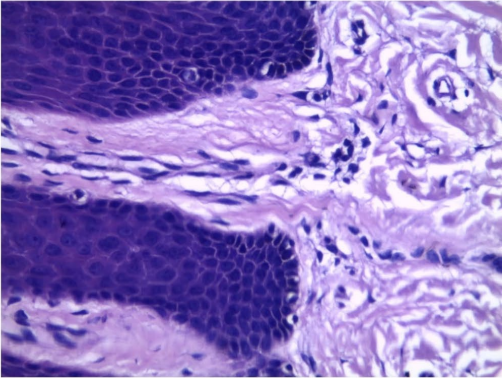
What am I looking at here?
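Here two long epidermal rete ridges of skin run across the field with a strip of dermal papilla between them. The ridge cells are packed squamous cells with purple nuclei and a darker basal row at the edge facing the dermis. In the papilla and the dermis beyond, loose pink collagen holds elongated fibroblast-like nuclei and small vessels. A small cluster of dark round nuclei sits in the dermis near the tips of the ridges.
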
